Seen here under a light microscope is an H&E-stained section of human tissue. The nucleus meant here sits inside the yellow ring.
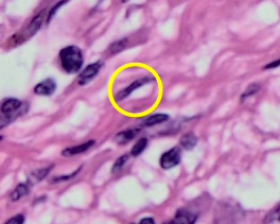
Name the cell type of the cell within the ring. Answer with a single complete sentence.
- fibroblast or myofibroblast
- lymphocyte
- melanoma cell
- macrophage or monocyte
The cell type represented by the cell within the ring is that of a fibroblast or myofibroblast.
